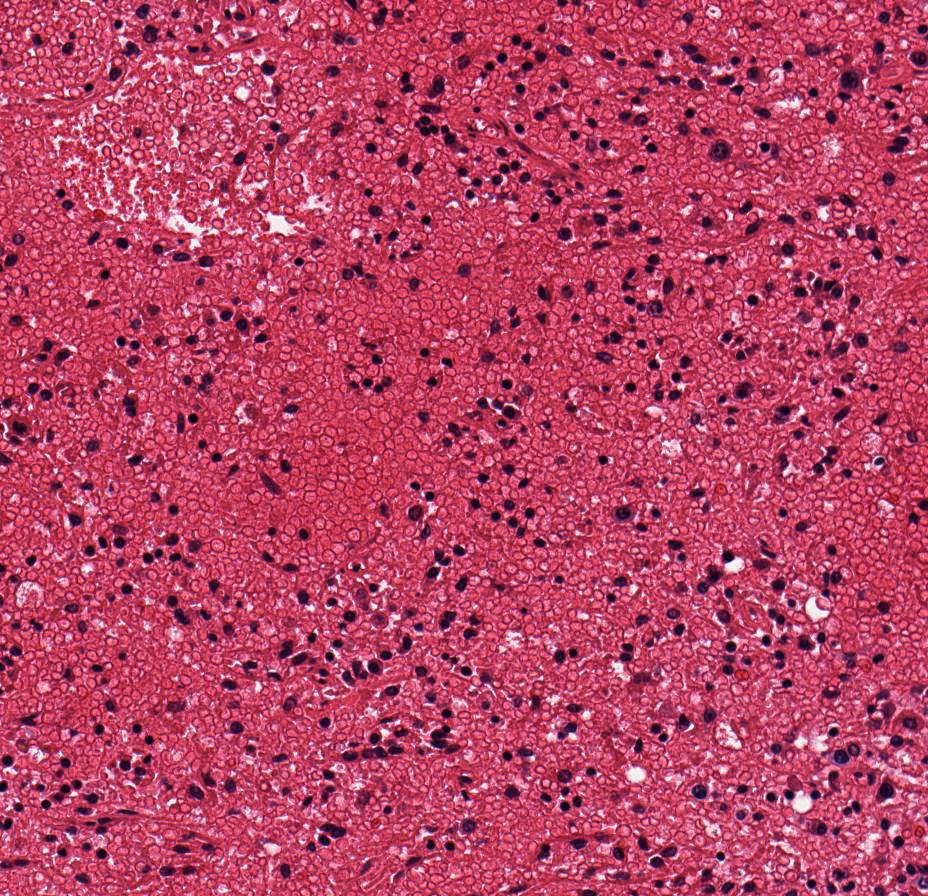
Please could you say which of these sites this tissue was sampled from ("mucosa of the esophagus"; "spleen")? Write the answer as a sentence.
The site this tissue was sampled from is the spleen.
